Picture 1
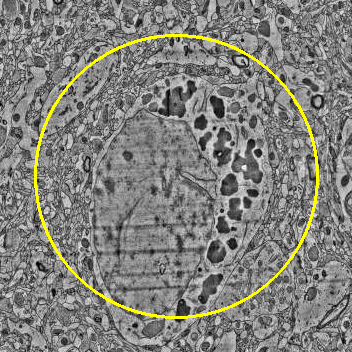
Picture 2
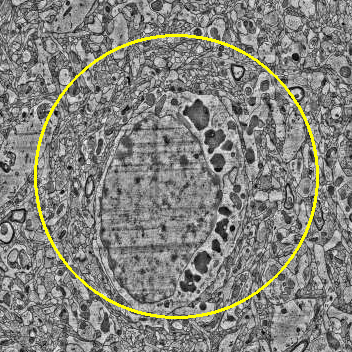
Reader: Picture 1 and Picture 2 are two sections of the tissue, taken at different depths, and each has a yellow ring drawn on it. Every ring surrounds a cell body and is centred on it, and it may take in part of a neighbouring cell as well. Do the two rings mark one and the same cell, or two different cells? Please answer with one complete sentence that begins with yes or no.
Yes, the cell marked in each ring is one and the same.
